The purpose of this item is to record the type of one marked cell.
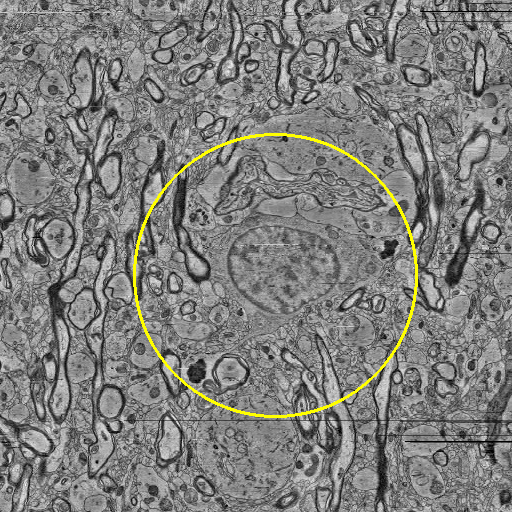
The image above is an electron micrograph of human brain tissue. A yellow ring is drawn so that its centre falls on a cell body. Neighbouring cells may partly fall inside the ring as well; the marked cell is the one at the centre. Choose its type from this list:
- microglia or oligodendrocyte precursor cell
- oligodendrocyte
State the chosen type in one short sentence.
What the ring marks here is an oligodendrocyte.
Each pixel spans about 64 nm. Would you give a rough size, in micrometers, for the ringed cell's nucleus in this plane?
In this plane, the nucleus is roughly 7 by 6 micrometres.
